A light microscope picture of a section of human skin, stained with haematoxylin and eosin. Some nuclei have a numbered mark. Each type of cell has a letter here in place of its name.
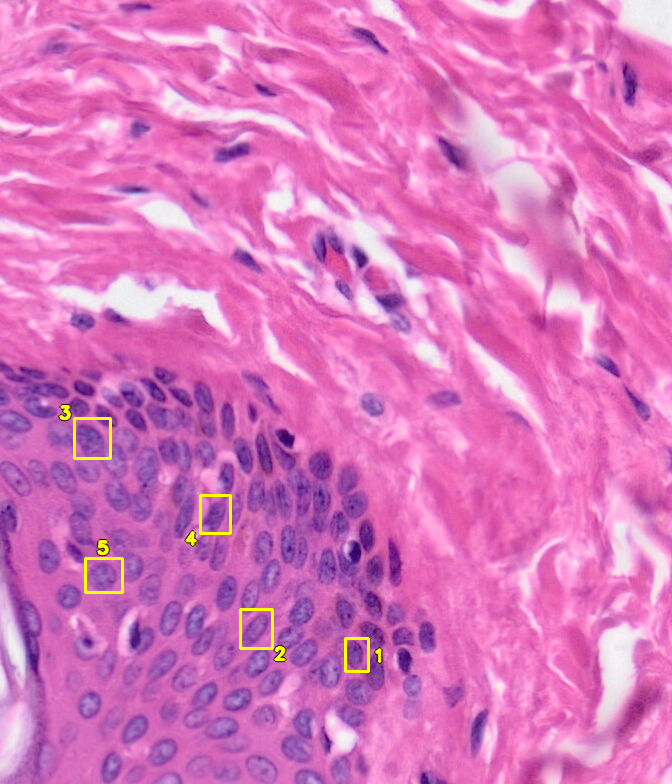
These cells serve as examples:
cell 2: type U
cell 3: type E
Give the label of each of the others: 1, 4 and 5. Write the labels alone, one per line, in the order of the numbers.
type E
type E
type U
